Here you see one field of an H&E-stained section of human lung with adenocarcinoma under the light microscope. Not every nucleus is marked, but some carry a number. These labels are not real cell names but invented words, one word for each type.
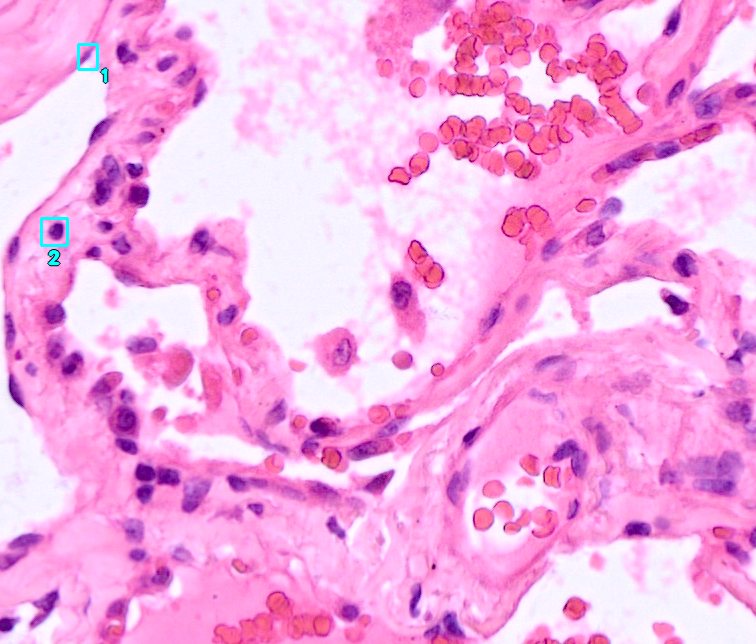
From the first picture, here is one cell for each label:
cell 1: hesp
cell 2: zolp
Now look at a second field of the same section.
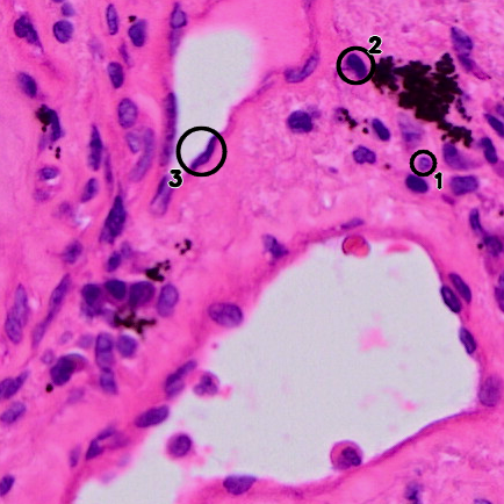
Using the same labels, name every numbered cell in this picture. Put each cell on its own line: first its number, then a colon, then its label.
1: zolp
2: zolp
3: hesp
